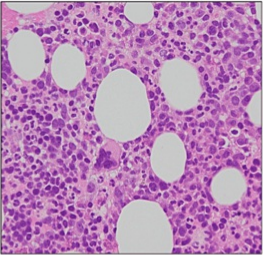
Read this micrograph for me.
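Hypercellular bone marrow with sheets of hematopoietic cells crowding the spaces between round, empty fat vacuoles. The cells have dark purple nuclei and pink cytoplasm.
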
